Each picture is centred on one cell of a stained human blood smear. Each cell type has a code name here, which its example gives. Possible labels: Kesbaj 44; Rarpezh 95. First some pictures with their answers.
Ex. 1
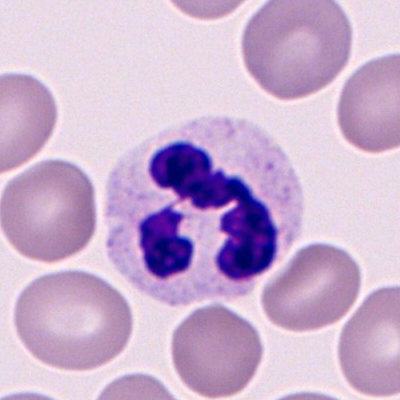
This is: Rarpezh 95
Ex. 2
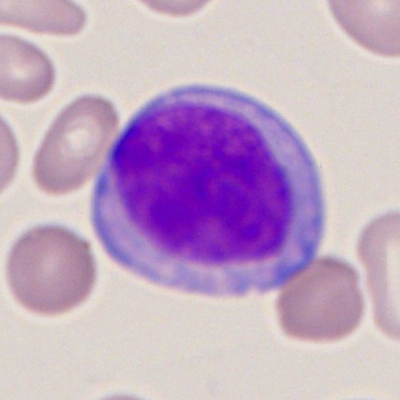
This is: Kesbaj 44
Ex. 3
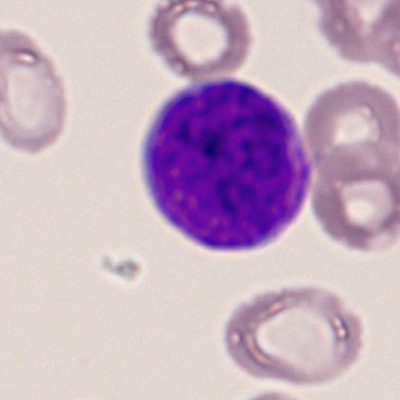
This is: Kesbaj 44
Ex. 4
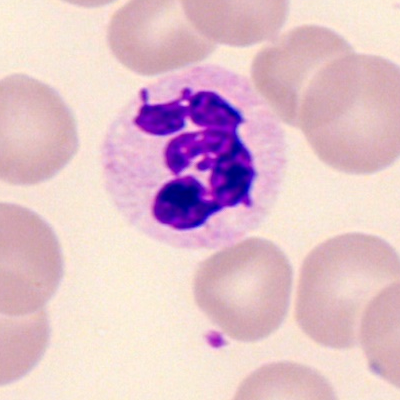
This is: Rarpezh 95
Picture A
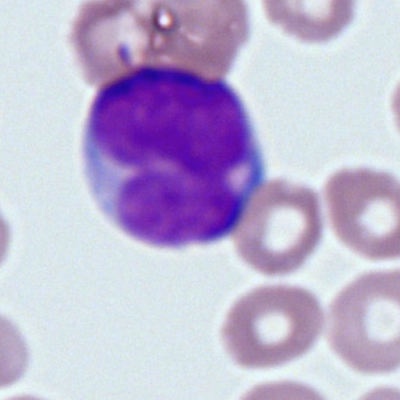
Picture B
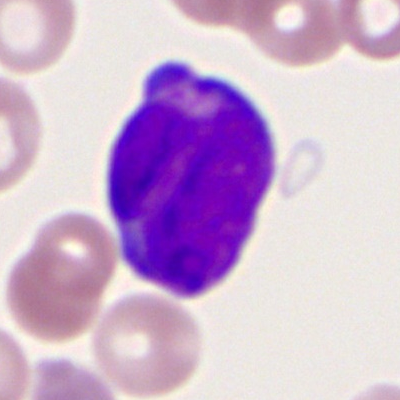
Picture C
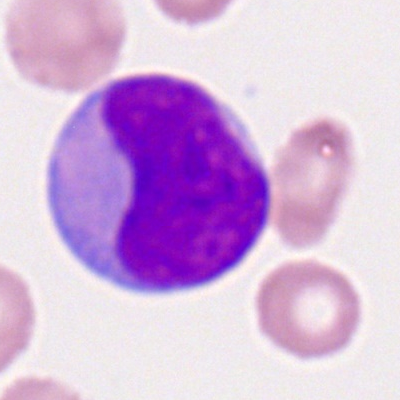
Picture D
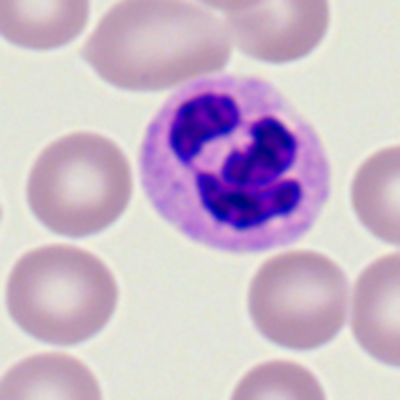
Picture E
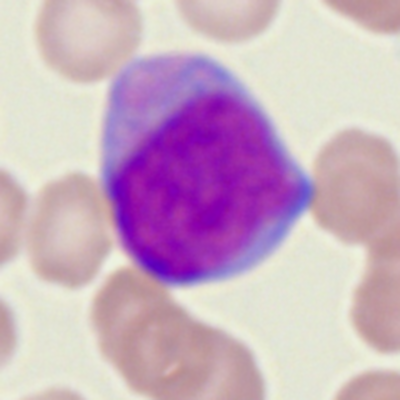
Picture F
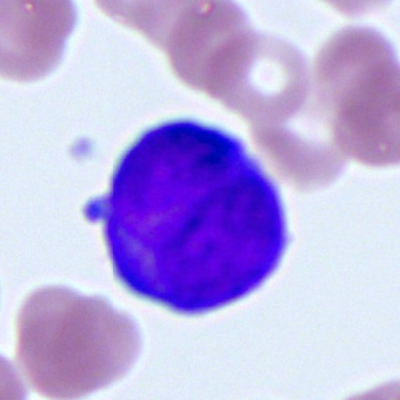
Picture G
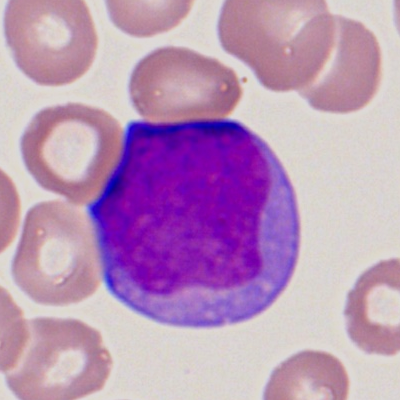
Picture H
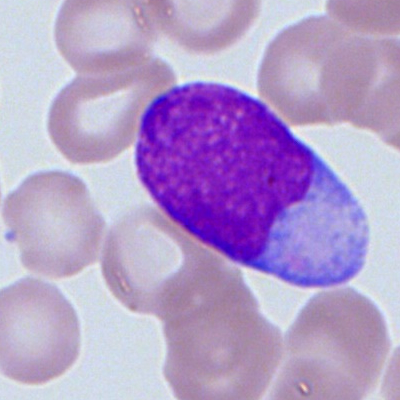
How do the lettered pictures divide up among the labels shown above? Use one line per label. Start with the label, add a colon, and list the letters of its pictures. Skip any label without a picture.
Kesbaj 44: A, B, C, E, F, G, H
Rarpezh 95: D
